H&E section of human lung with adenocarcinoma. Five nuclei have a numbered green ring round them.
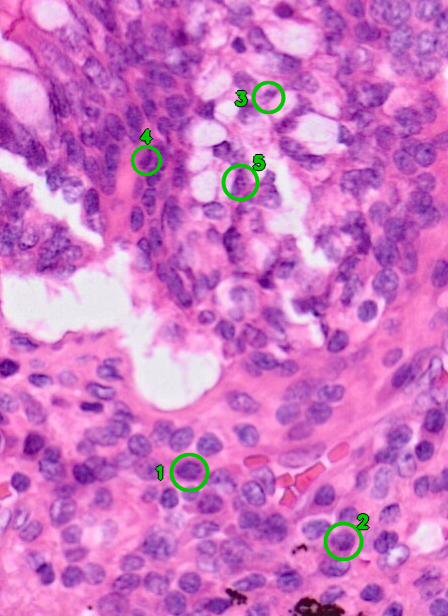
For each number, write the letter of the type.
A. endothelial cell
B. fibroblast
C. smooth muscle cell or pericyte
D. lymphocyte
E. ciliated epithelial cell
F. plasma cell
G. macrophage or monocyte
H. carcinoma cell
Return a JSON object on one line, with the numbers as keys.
{"1": "F", "2": "F", "3": "E", "4": "E", "5": "E"}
